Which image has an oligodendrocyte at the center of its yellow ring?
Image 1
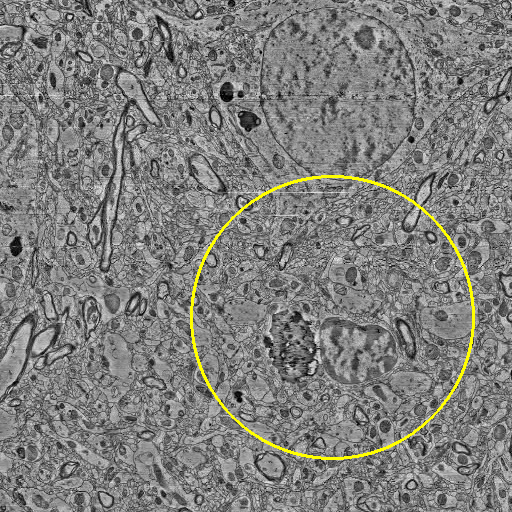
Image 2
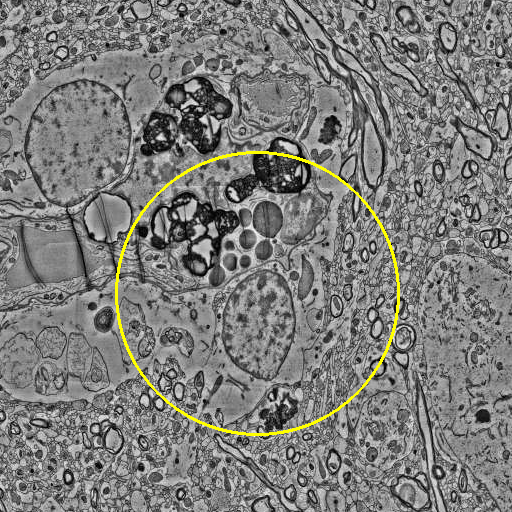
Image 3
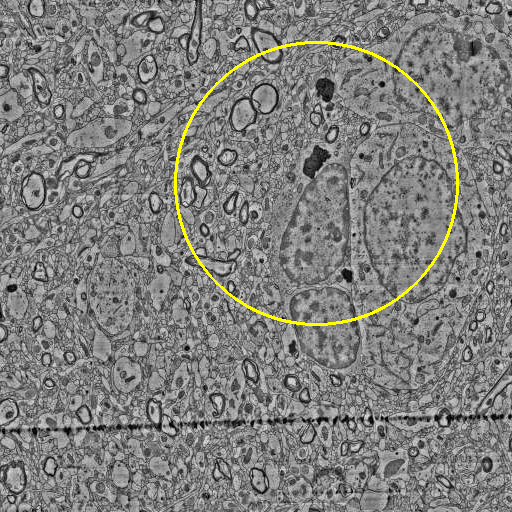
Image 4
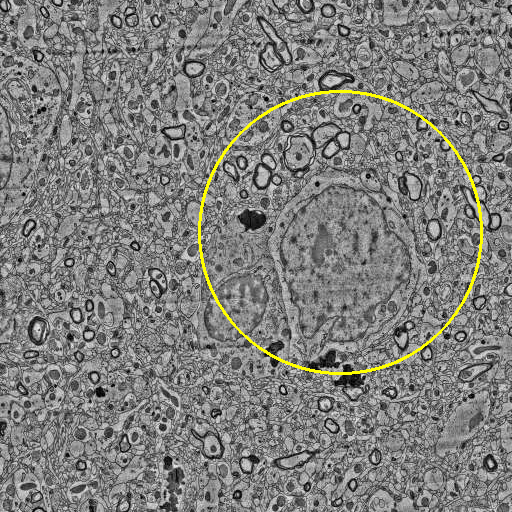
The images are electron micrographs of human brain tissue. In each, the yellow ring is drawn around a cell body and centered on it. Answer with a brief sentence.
It is at the center of the ring in Image 3.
